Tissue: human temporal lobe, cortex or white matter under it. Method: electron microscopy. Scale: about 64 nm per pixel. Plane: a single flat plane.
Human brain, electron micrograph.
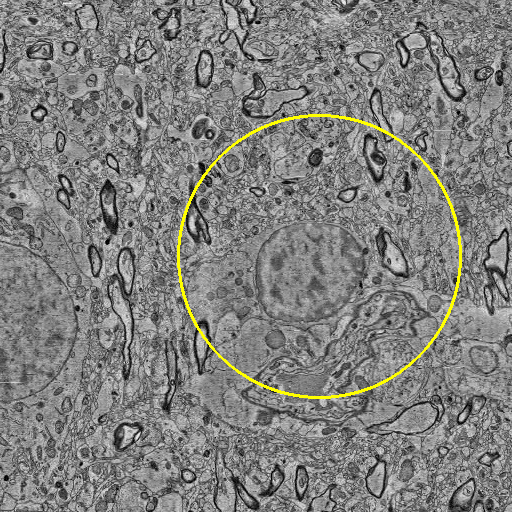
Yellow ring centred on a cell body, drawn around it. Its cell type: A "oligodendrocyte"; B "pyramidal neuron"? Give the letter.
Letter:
A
